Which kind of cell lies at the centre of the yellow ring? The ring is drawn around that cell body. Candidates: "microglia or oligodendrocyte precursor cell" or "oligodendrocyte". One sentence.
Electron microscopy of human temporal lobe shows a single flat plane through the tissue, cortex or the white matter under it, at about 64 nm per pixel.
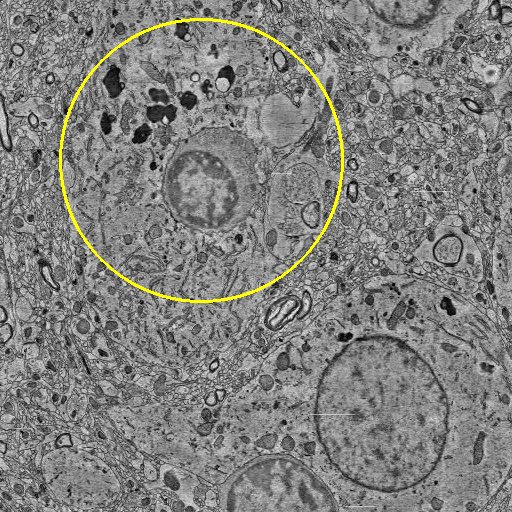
Lying at the centre of the ring is an oligodendrocyte.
